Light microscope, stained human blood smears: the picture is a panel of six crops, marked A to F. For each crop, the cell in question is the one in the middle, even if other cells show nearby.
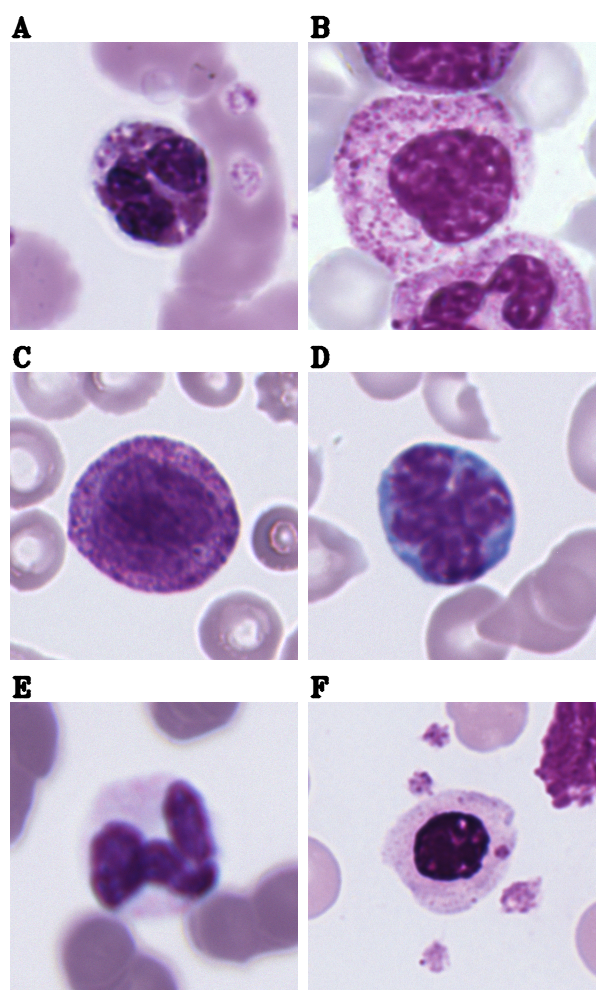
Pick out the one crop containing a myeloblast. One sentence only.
Crop D represents a myeloblast, while the other crops do not.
